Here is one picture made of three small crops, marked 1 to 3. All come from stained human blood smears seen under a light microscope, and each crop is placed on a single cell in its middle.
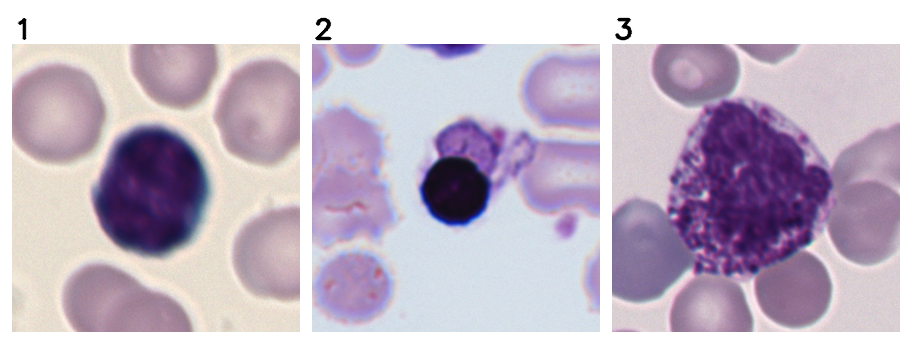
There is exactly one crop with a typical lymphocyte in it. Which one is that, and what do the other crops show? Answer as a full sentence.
In crop 1 one sees a typical lymphocyte, while crop 2 is a normoblast and crop 3 is a basophil.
